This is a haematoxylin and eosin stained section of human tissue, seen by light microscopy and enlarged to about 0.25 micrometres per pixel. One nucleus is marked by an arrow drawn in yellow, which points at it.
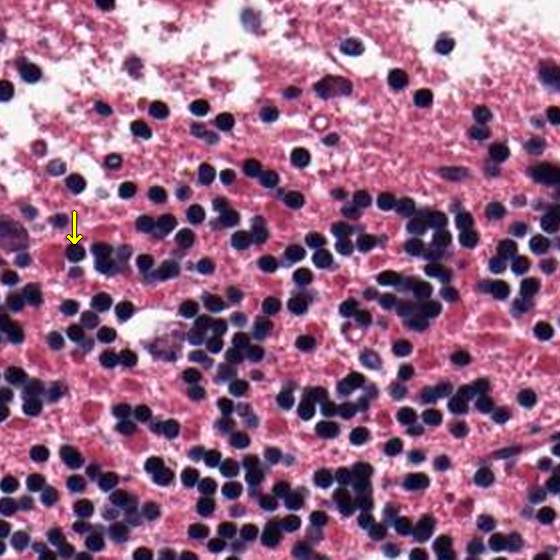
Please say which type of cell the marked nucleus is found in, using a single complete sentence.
The marked nucleus is seen to belong to a cerebellar granule cell.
